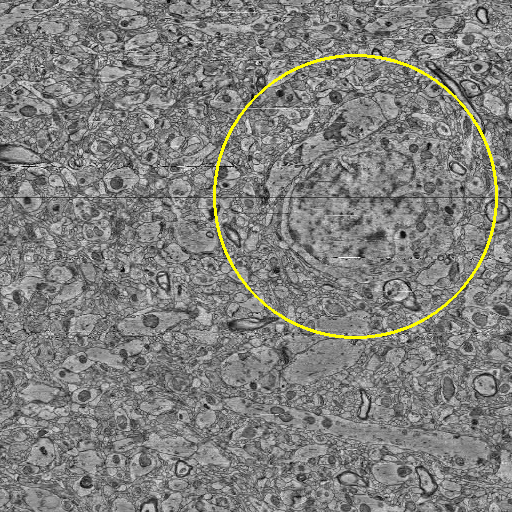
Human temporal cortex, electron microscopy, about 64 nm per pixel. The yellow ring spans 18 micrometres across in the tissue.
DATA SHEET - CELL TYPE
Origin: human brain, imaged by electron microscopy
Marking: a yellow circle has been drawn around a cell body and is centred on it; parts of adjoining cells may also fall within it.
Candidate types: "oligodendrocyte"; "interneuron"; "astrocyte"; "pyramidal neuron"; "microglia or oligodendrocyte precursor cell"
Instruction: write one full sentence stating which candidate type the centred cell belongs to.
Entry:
The cell body at the centre of the yellow ring in this micrograph belongs to an interneuron.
